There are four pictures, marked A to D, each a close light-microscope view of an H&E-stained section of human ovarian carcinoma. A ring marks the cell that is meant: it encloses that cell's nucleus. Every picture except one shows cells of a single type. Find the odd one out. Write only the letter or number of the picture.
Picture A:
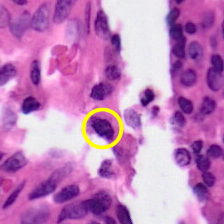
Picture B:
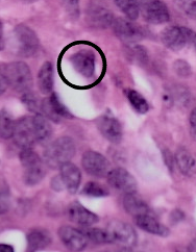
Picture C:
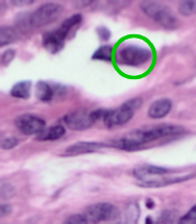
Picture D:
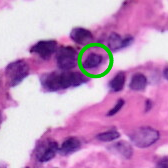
C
